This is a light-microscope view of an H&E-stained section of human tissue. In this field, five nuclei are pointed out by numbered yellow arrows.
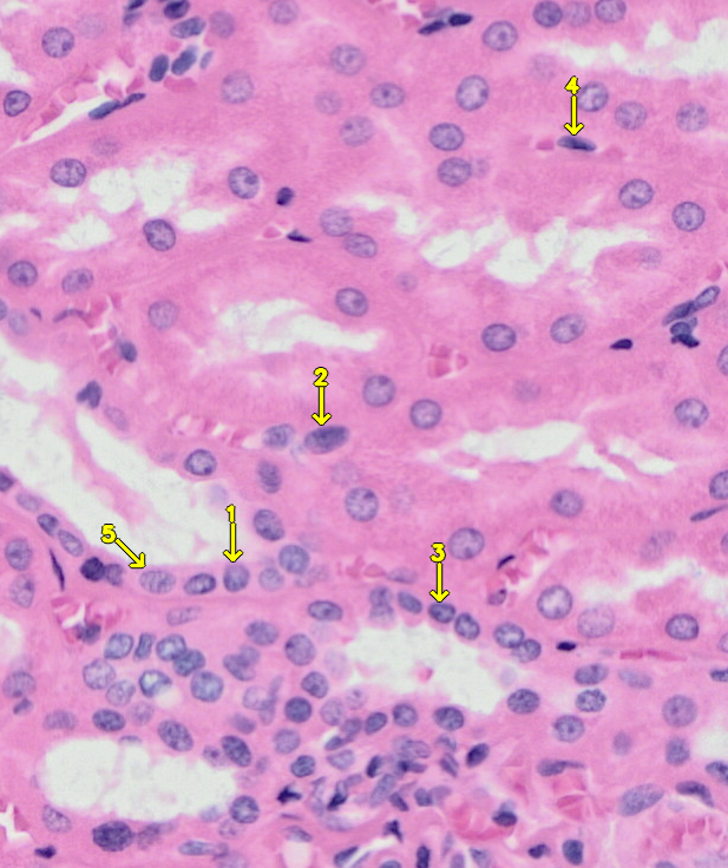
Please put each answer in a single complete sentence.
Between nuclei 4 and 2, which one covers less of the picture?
It is nucleus 4; nucleus 2 has about 2 times its area.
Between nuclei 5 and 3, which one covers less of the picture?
Nucleus 3 is the smaller one; nucleus 5 covers about 1.5 times its area.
